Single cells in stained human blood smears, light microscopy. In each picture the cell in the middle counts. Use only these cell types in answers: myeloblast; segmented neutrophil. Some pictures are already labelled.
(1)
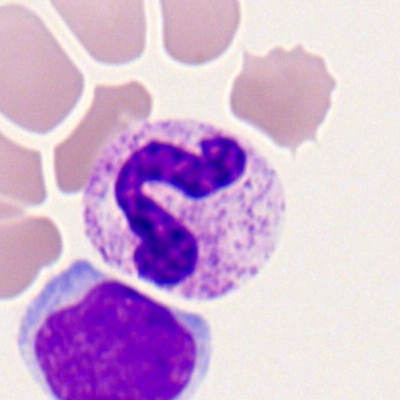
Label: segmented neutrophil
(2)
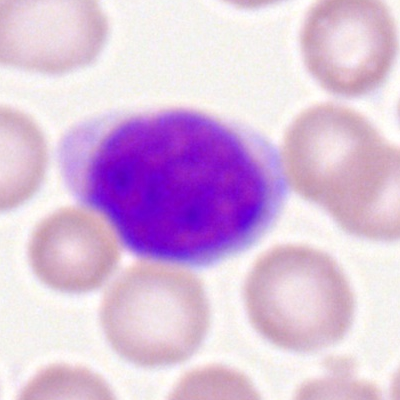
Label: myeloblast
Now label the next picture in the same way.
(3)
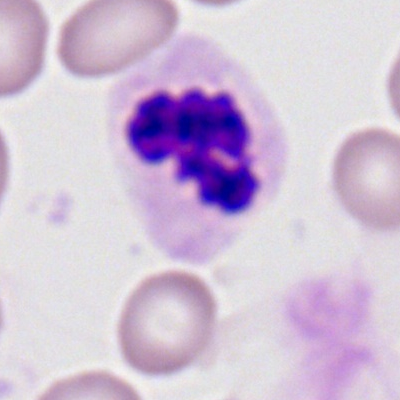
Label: segmented neutrophil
